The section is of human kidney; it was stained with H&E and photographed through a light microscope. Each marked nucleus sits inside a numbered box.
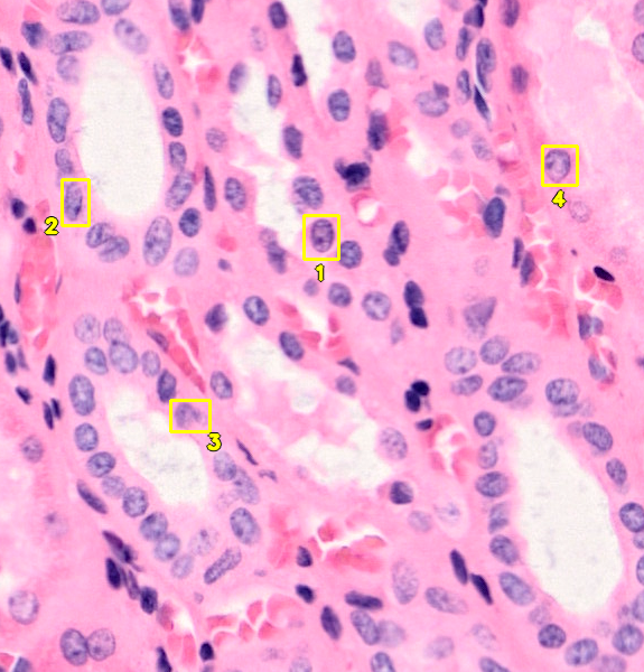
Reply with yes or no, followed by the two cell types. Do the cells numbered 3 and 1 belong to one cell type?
No, cell 3 is a collecting duct cell and cell 1 is a loop of Henle or distal tubule cell.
